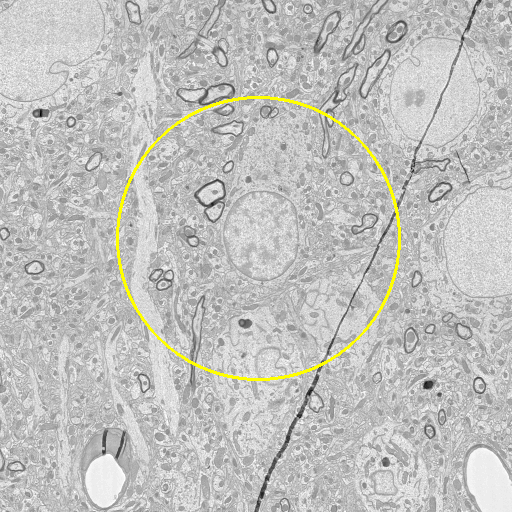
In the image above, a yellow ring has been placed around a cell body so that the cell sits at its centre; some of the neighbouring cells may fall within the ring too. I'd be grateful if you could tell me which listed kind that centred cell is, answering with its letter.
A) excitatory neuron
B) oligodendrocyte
B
